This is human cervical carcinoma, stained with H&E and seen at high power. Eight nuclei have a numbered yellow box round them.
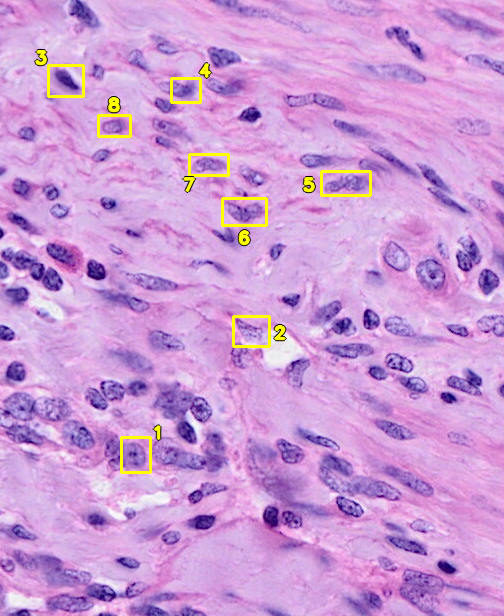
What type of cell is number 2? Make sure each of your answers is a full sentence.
The cell referenced by the number 2 is an endothelial cell in this field.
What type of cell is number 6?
Marked with the number 6, this cell is a smooth muscle cell.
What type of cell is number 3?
The nucleus marked 3 is the nucleus of a lymphocyte.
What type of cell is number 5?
The cell marked with number 5 is a smooth muscle cell.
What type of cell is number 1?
Heads up, the cell numbered 1 is an endothelial cell.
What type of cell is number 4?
The cell that goes by number 4 is a smooth muscle cell.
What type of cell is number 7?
Identified by the number 7, the cell is a smooth muscle cell.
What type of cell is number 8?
It is as a smooth muscle cell that the cell numbered 8 is identified.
